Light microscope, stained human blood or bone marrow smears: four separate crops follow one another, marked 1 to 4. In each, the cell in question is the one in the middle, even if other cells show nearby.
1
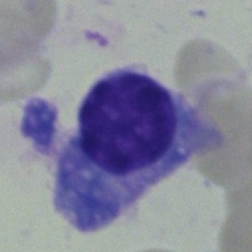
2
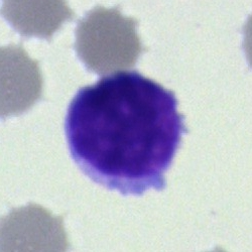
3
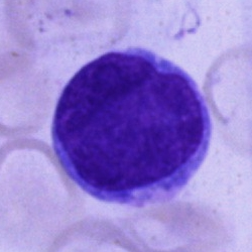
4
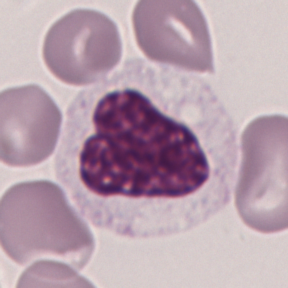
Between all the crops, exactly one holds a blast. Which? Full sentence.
Selected crop: 3, which is the one that shows a blast.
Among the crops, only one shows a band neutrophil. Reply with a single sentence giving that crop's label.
The crop carrying a band neutrophil at the center is crop 4.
